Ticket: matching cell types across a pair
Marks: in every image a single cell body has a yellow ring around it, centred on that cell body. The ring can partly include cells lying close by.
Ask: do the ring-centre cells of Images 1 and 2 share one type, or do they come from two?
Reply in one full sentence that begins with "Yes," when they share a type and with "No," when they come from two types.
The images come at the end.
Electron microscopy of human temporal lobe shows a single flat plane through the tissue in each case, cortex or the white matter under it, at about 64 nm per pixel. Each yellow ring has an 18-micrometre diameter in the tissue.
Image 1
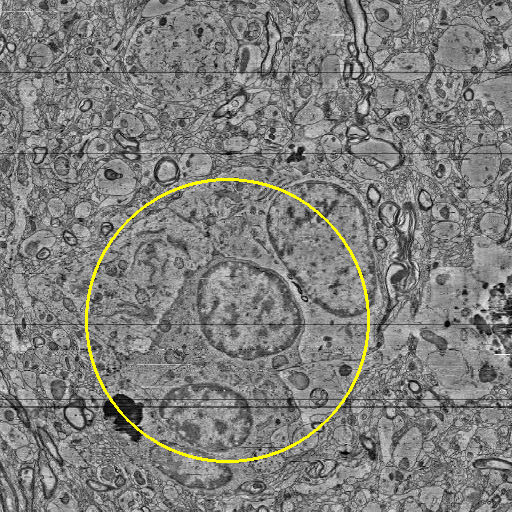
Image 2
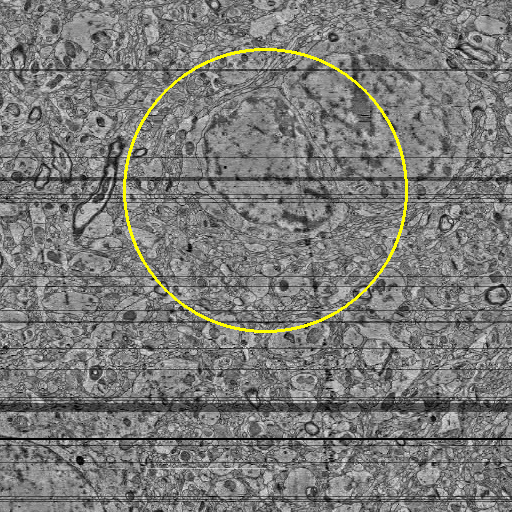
No, the cells in the centres of the rings in Image 1 and Image 2 come from two types.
